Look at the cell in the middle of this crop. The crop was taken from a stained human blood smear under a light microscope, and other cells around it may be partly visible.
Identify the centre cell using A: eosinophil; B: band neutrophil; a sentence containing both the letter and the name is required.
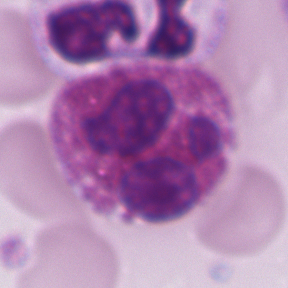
Here the right option is A, as the cell in the middle is an eosinophil.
